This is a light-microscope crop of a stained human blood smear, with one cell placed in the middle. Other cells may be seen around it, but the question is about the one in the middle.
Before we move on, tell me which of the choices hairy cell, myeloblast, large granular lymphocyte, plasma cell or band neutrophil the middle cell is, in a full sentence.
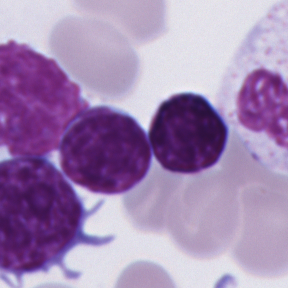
The cell under consideration, at the middle of the crop, is a myeloblast.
